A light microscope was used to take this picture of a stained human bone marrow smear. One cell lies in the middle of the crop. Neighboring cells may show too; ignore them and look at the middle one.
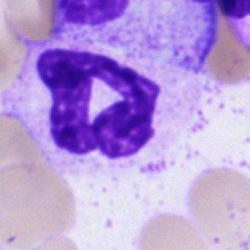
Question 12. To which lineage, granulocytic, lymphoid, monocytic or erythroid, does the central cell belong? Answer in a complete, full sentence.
Under the granulocytic lineage falls the cell in the middle of the crop.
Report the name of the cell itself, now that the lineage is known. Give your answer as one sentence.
The middle cell in this particular crop is a segmented neutrophil.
